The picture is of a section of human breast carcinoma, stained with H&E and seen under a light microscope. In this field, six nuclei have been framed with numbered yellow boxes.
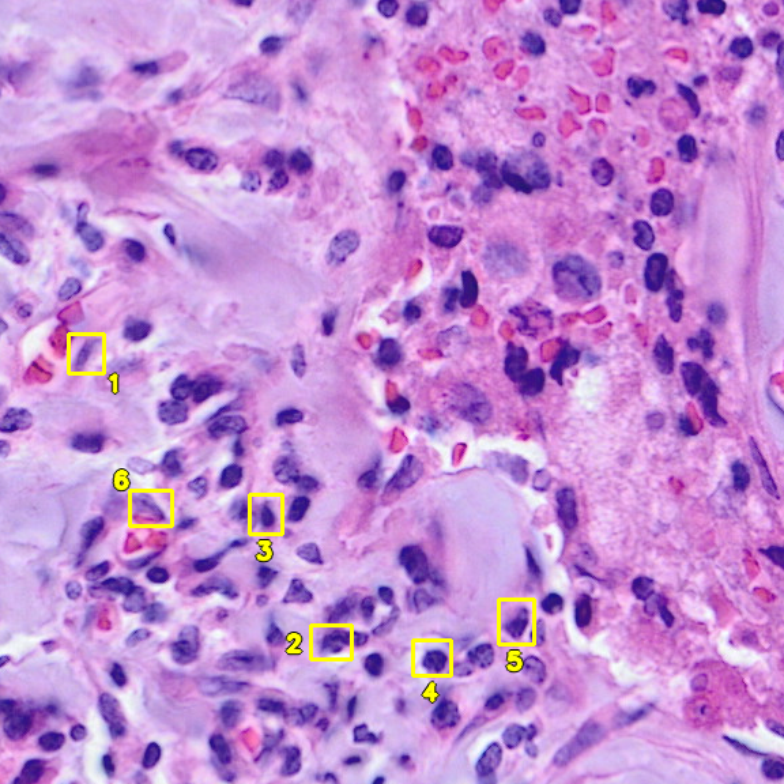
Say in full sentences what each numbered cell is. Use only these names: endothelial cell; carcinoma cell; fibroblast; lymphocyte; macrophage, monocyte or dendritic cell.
Cell 1 is an endothelial cell, cell 2 is a lymphocyte, cell 3 is a lymphocyte, cell 4 is a lymphocyte, cell 5 is a lymphocyte and cell 6 is an endothelial cell.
